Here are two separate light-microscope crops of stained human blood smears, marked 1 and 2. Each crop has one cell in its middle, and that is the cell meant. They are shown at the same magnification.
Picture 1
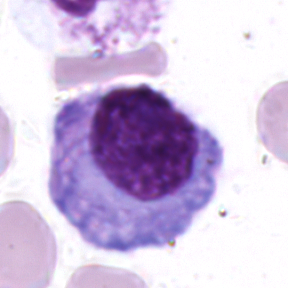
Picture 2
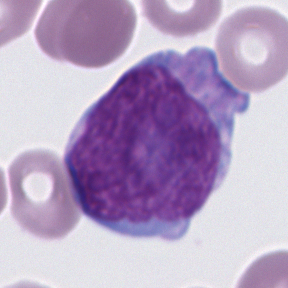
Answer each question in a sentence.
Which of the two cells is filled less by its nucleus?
Of the two, the nucleus in picture 1 leaves more room for cytoplasm.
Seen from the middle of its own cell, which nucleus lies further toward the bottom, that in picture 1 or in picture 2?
The nucleus in picture 2 lies further toward the bottom of its cell.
